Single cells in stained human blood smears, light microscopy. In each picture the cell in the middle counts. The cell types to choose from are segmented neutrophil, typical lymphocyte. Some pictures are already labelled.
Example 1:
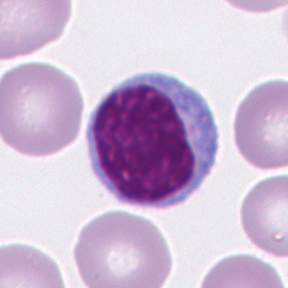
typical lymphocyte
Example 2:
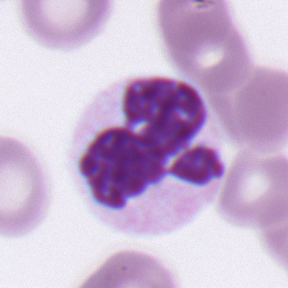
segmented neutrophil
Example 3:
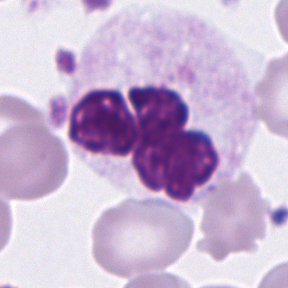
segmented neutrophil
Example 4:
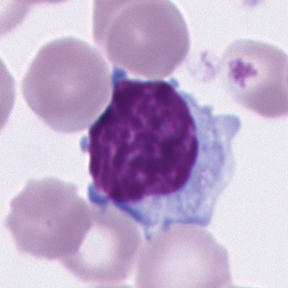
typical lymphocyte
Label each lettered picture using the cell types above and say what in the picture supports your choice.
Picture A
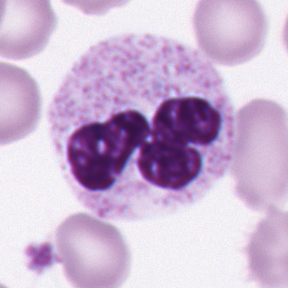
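Answer: segmented neutrophil. The cytoplasm is abundant and pale pink.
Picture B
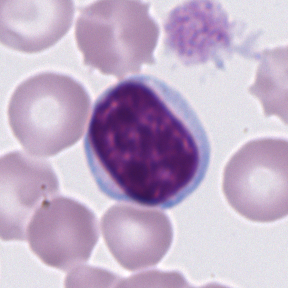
Answer: typical lymphocyte. The cytoplasm forms only a narrow rim around the nucleus.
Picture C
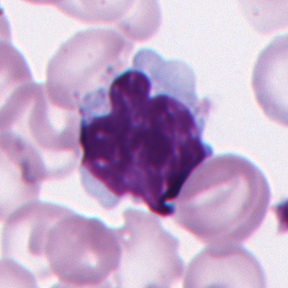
Answer: typical lymphocyte. The cytoplasm is scant, a pale greyish rim seen mainly above the nucleus.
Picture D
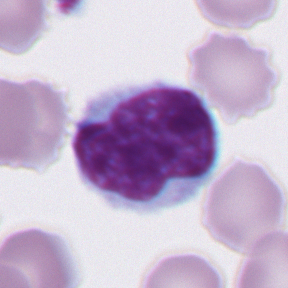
Answer: typical lymphocyte. The cytoplasm is a thin pale greyish-blue rim.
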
